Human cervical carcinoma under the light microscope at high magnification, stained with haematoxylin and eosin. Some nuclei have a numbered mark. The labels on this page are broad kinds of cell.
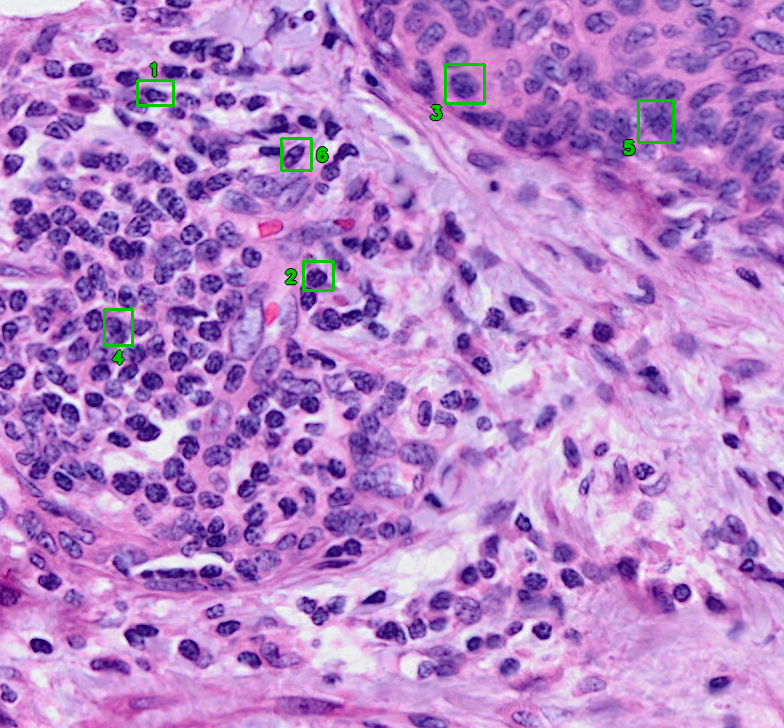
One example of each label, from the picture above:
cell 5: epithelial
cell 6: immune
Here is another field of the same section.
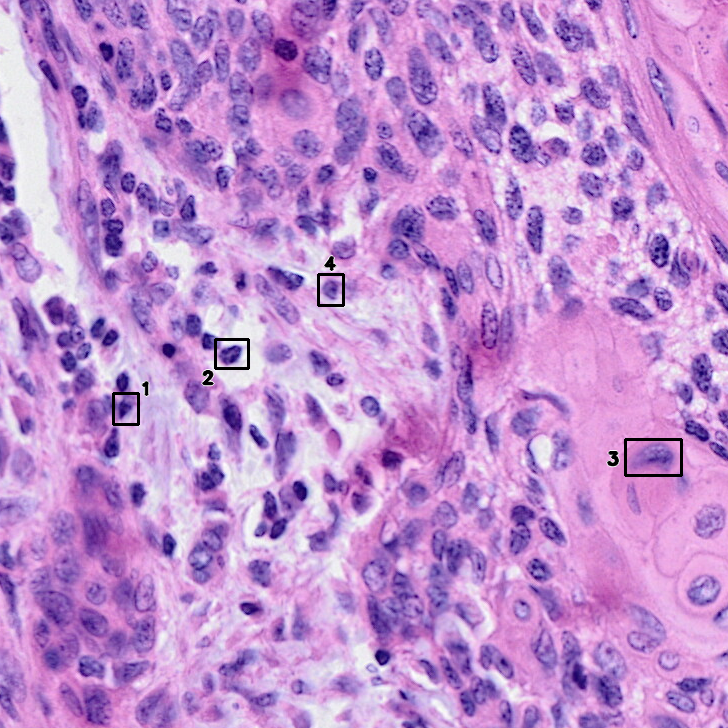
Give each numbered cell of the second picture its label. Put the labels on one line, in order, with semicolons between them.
immune; immune; epithelial; immune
